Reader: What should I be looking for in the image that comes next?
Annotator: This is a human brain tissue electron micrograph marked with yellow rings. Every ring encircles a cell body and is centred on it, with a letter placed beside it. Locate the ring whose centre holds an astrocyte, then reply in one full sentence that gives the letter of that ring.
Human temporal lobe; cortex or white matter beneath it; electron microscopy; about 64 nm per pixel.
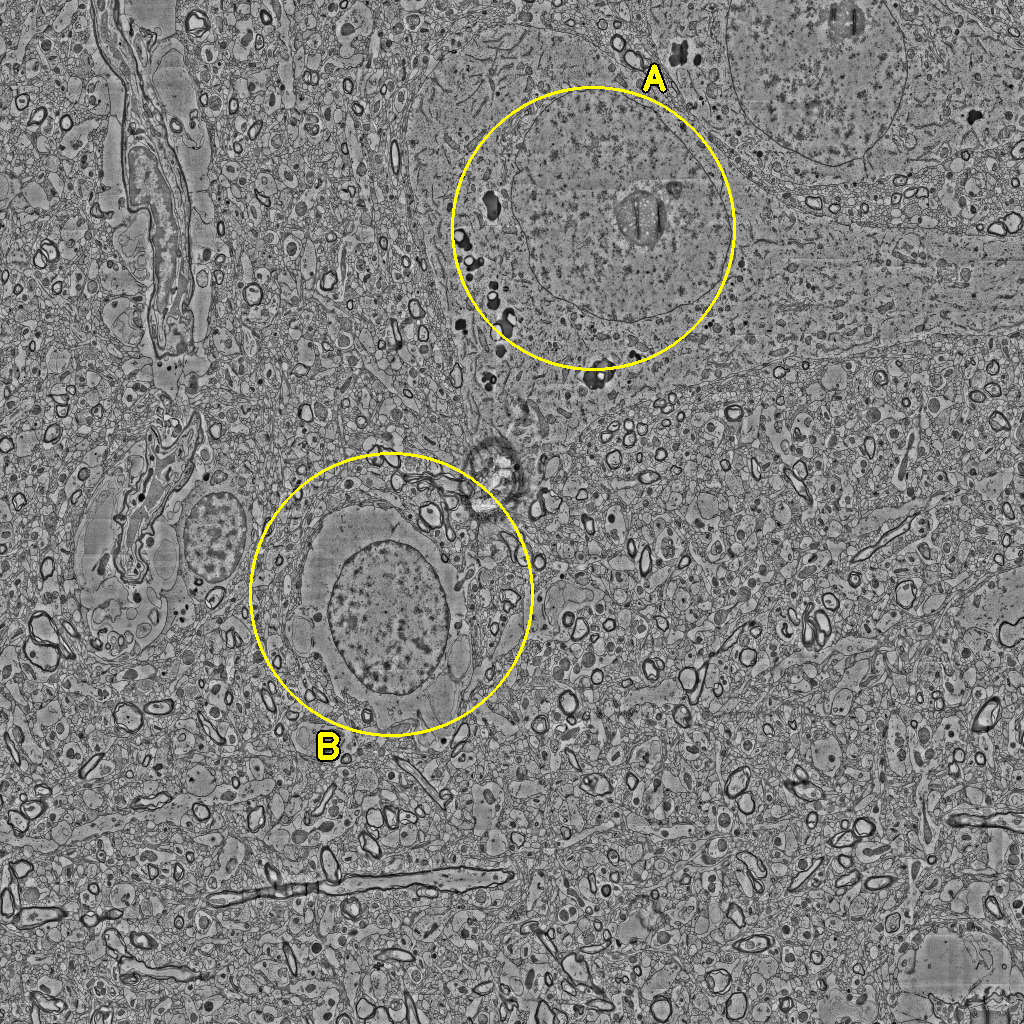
The ring centred on the cell asked for is the one labelled B.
